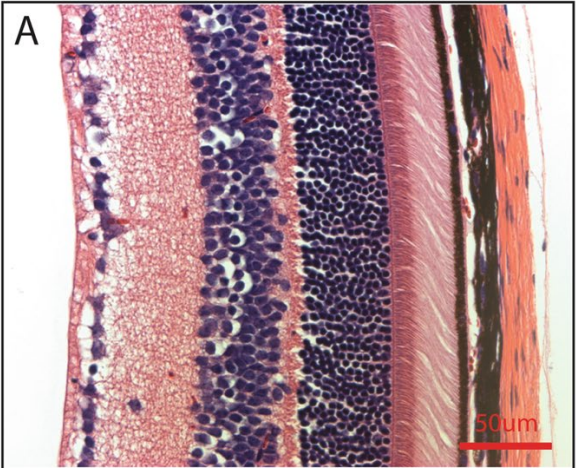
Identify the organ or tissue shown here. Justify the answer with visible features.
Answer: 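Parallel bands of densely packed purple nuclei alternate with pale pink fibrous bands. A thick band of tightly packed small dark round nuclei lies next to a pink band of fine parallel striations. A thin black pigmented layer runs along one edge of the tissue. That points to this answer: retinal structure.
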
